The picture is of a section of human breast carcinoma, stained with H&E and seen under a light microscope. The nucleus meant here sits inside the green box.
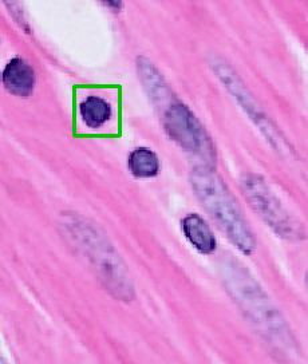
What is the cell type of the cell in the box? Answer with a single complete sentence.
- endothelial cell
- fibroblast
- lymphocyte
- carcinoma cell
Assigned to a cell type, the cell in the box is a lymphocyte.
